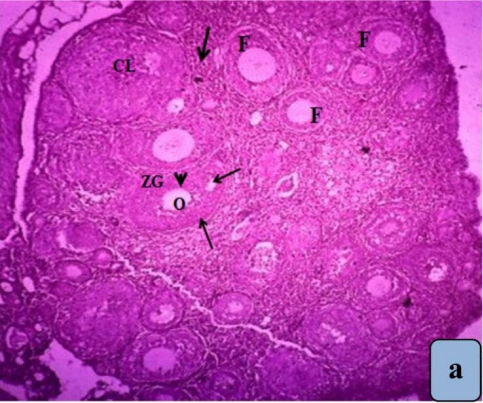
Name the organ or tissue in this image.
Ovary.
